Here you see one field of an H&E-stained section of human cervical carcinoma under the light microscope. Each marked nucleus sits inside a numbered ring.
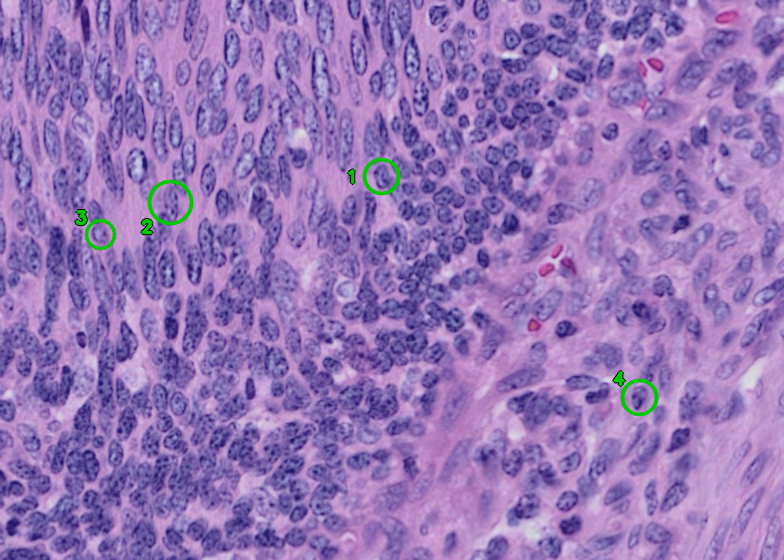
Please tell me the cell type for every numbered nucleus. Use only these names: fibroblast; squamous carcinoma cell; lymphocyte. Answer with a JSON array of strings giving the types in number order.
["squamous carcinoma cell", "squamous carcinoma cell", "squamous carcinoma cell", "lymphocyte"]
